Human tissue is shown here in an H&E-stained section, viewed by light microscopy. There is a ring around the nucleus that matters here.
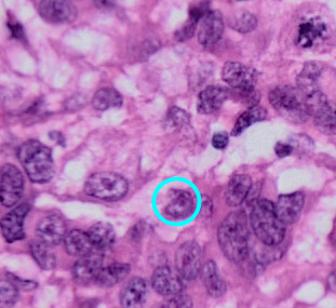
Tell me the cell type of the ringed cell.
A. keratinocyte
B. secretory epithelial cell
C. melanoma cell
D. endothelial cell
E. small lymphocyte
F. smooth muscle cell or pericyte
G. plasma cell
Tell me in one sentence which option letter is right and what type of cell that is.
The correct identification, the ringed cell as a melanoma cell, is given by option C.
